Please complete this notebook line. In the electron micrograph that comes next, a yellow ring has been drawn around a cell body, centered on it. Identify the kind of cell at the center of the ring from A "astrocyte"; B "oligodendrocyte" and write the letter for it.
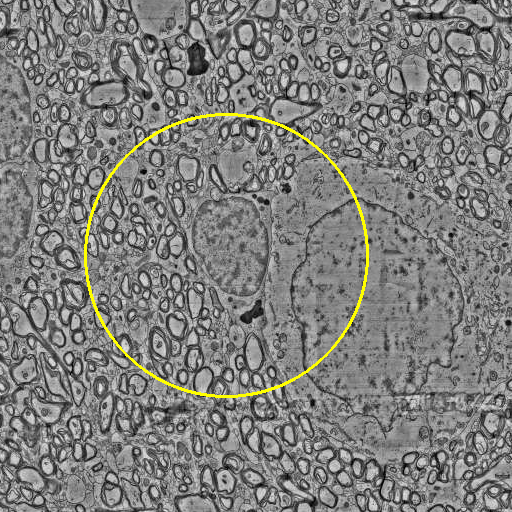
B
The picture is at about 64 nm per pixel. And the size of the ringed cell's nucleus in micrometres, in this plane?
About 6 micrometres by about 5 micrometres in this plane.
